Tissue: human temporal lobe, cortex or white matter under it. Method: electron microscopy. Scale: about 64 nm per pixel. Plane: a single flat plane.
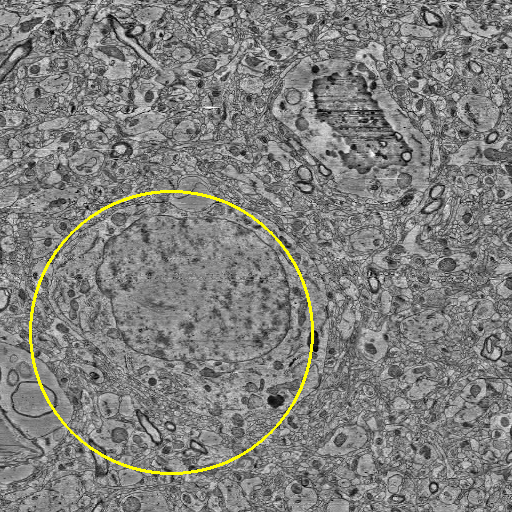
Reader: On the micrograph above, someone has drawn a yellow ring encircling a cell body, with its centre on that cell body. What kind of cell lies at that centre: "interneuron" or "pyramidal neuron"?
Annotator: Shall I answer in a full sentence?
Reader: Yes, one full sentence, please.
Here an interneuron sits at the centre of the yellow ring drawn on the micrograph.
